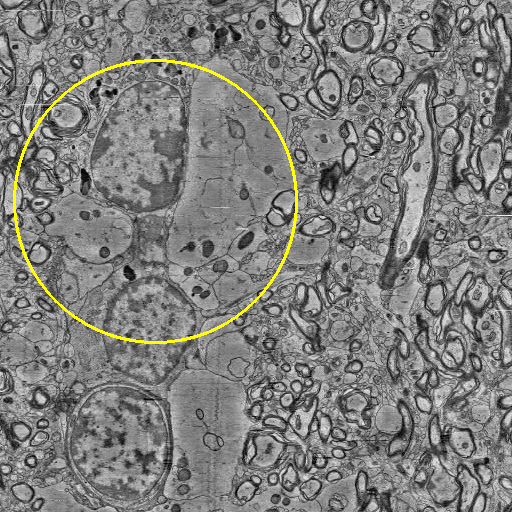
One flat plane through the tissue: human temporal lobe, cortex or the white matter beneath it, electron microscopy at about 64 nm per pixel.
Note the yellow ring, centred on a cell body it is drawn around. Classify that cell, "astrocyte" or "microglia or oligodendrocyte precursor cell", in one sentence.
The cell the ring is centred on is a microglial cell or oligodendrocyte precursor cell.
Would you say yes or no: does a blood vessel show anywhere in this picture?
Yes.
